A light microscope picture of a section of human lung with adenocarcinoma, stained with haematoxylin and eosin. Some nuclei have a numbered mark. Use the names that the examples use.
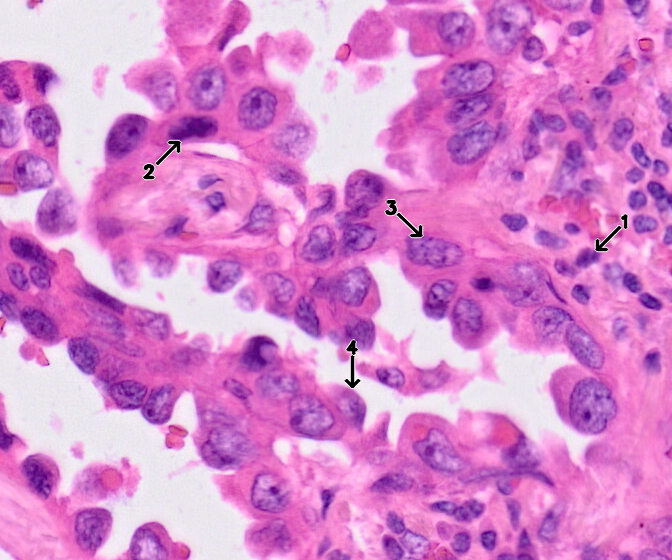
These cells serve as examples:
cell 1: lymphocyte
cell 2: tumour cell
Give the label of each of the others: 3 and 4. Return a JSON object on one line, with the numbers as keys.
{"3": "tumour cell", "4": "tumour cell"}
